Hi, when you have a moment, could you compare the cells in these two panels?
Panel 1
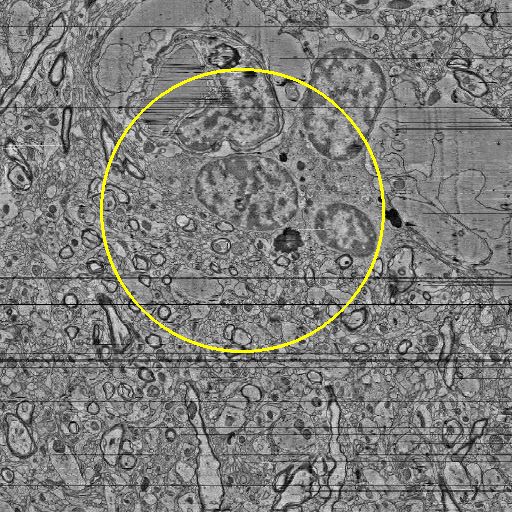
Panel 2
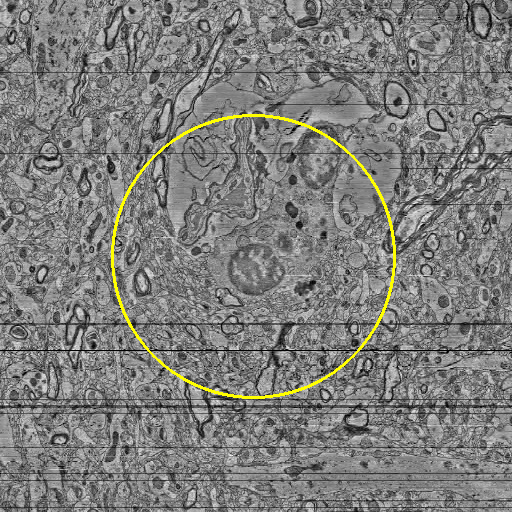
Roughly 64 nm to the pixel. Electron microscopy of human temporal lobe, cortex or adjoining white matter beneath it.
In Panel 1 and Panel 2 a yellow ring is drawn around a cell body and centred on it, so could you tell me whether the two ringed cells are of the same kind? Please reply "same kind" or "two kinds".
same kind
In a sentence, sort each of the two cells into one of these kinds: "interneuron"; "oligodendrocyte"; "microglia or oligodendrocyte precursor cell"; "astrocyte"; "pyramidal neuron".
Both pictures show an oligodendrocyte at the centre of the ring.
